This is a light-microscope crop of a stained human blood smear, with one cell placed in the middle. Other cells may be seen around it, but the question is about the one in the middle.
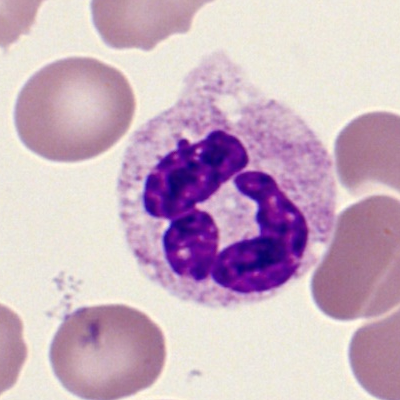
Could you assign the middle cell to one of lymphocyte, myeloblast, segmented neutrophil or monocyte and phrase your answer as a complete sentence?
The cell in the exact centre of the crop is a segmented neutrophil.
